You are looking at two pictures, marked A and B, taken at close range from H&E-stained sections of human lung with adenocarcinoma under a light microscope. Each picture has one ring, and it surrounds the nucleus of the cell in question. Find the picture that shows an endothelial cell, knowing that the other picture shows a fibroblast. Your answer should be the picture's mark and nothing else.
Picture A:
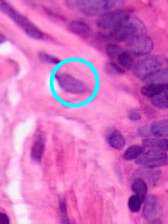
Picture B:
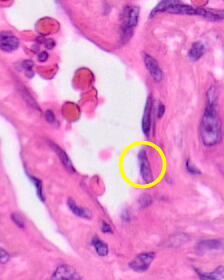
B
